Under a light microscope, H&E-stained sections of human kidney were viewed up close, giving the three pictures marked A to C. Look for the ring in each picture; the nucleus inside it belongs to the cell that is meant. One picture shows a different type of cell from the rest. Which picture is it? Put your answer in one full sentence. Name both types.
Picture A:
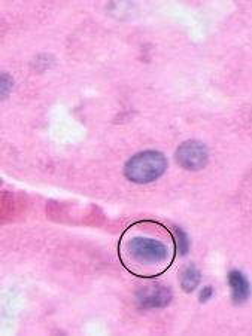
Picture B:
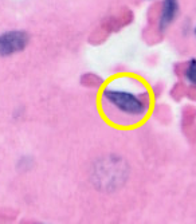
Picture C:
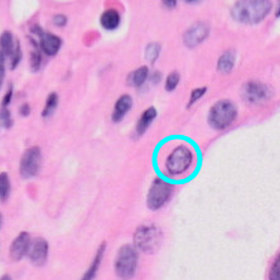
Unlike the rest, which show endothelial cells, picture C shows a collecting duct cell.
